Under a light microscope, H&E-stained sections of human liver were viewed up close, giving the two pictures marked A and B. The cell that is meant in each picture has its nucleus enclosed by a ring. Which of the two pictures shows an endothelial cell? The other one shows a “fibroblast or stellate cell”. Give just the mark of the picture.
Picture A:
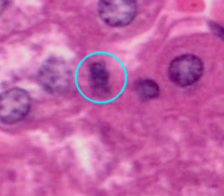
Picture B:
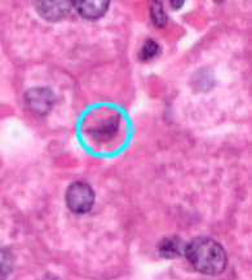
B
